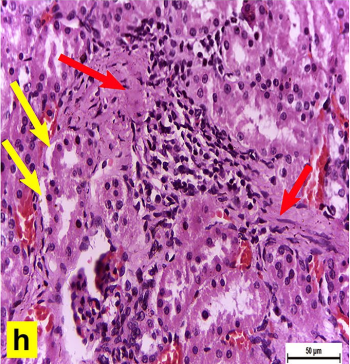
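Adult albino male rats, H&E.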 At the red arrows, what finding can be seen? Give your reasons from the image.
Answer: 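Pink fibrous material with elongated nuclei lies between tubules. The area is crowded with spindle-shaped and dark nuclei.
Fibrosis.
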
